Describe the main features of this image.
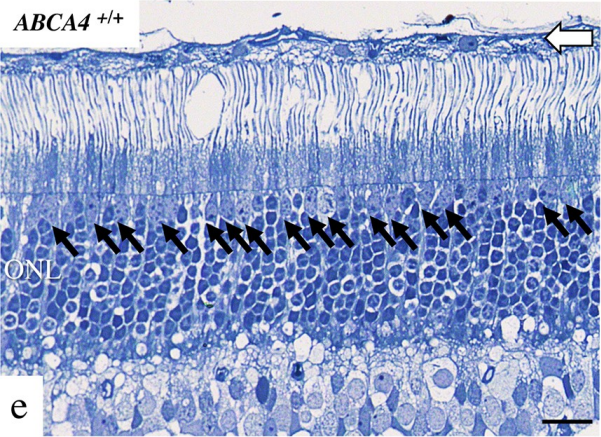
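Section of the outer retina stained in shades of blue, showing from top to bottom a thin pigmented epithelial layer, long pale photoreceptor outer and inner segments, a thick outer nuclear layer, and the start of the inner layers. The outer nuclear layer consists of many rows of small, round, densely stained nuclei. Along its outermost row, just below the inner segments, lie regularly spaced larger, paler nuclei of cones. Beneath the nuclear layer lies a paler, vacuolated plexiform zone followed by larger cell bodies of the inner retina.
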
